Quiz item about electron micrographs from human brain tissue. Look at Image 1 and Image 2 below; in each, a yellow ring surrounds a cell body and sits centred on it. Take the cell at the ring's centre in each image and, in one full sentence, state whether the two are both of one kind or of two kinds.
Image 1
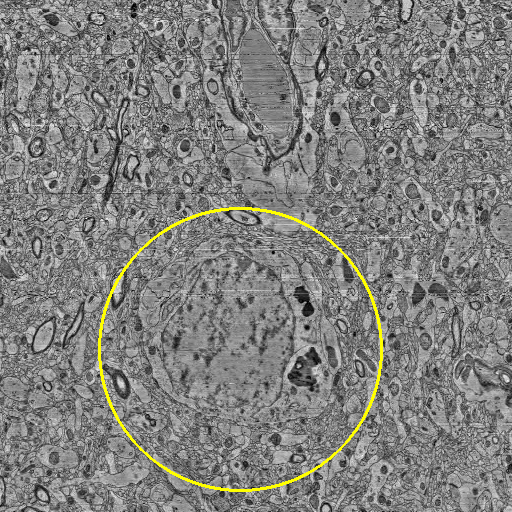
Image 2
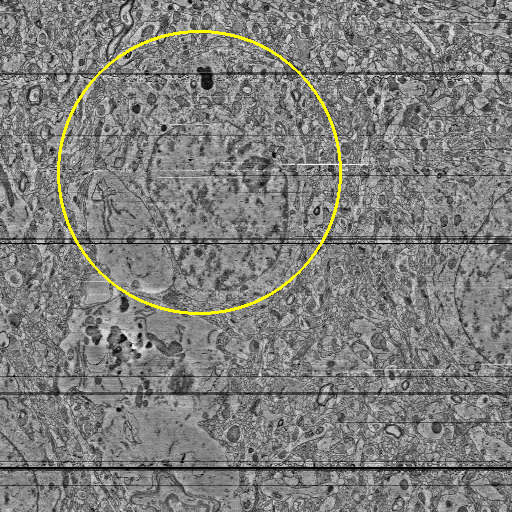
In Image 1 and Image 2, the cells at the ring centres are both of one kind.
